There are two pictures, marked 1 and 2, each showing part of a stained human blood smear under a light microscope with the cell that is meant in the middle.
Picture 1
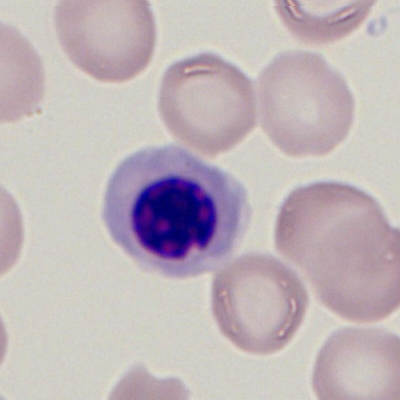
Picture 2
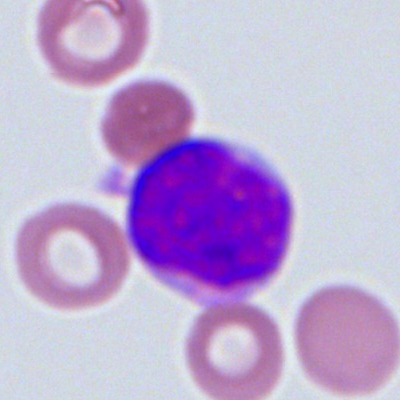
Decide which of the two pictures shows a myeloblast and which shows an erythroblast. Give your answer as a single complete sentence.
In picture 1 the cell is an erythroblast; in picture 2, a myeloblast.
